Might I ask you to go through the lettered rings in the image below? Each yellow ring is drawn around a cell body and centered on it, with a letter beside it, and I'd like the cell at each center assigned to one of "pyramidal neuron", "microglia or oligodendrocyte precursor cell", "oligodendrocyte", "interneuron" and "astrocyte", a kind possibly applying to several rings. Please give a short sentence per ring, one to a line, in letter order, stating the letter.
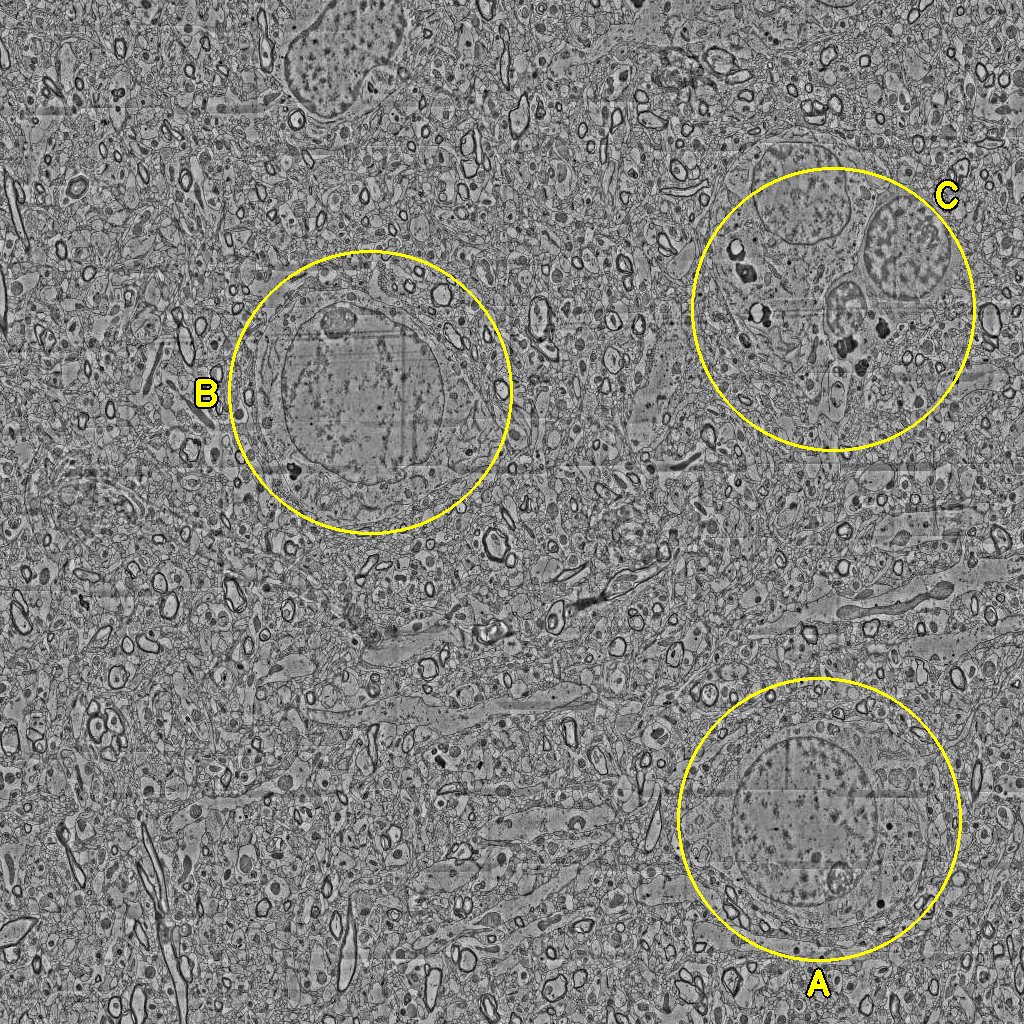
Ring A is centered on the body of an interneuron.
Ring B is centered on the body of a pyramidal neuron.
Ring C is centered on the body of an oligodendrocyte.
